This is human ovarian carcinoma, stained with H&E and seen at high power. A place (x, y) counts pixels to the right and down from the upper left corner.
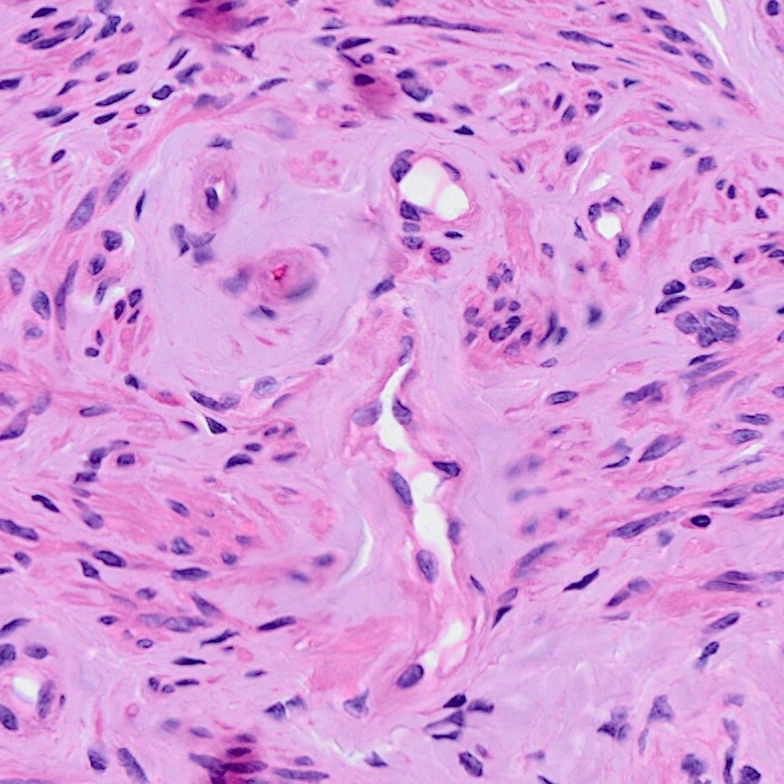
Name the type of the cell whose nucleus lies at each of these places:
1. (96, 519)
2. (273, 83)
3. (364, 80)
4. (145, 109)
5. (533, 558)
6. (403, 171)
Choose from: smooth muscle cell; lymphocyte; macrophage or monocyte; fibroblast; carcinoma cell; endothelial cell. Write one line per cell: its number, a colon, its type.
1: smooth muscle cell
2: fibroblast
3: smooth muscle cell
4: smooth muscle cell
5: smooth muscle cell
6: endothelial cell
